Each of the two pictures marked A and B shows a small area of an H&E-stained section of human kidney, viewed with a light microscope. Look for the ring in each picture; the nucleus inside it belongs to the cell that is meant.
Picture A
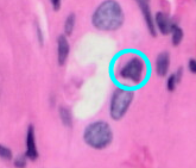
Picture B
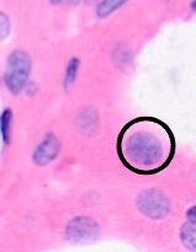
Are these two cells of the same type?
no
